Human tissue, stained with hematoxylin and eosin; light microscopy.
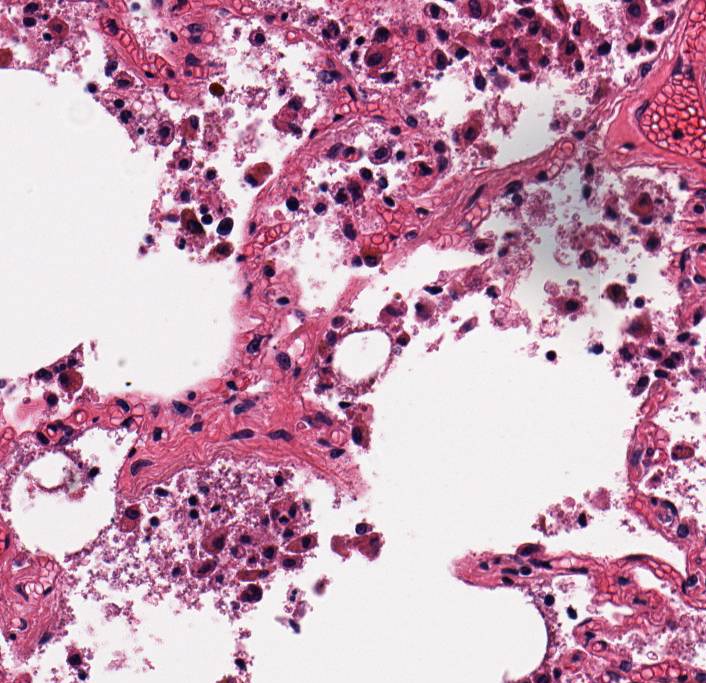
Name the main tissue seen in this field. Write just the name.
alveolus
